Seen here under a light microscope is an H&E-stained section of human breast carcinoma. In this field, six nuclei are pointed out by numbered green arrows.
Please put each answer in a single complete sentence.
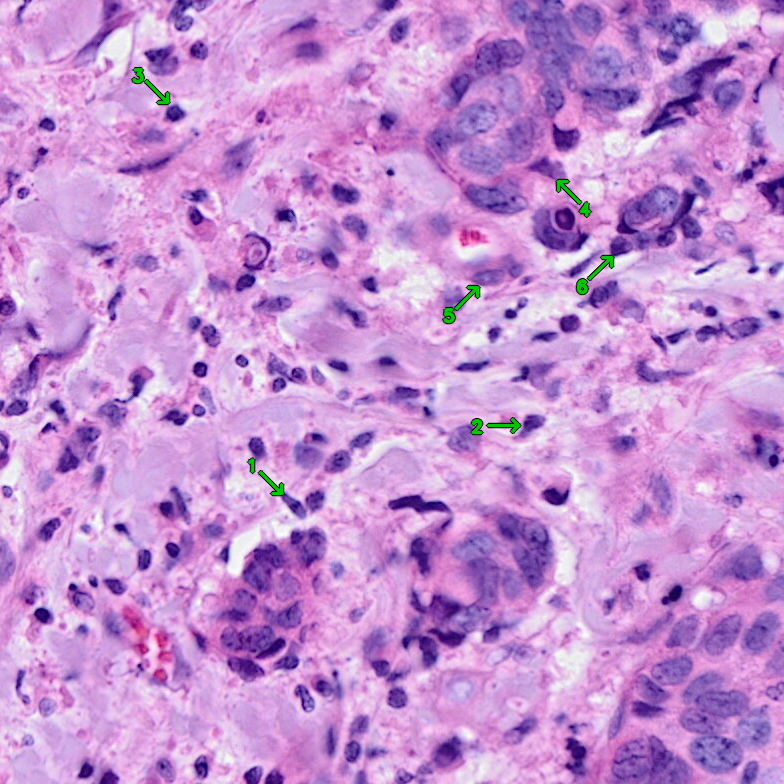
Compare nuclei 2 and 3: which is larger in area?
Nucleus 2 is larger, with an area about 1.5 times that of nucleus 3.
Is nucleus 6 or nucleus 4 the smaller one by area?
Nucleus 6 covers less area, with nucleus 4 about 1.5 times as large.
